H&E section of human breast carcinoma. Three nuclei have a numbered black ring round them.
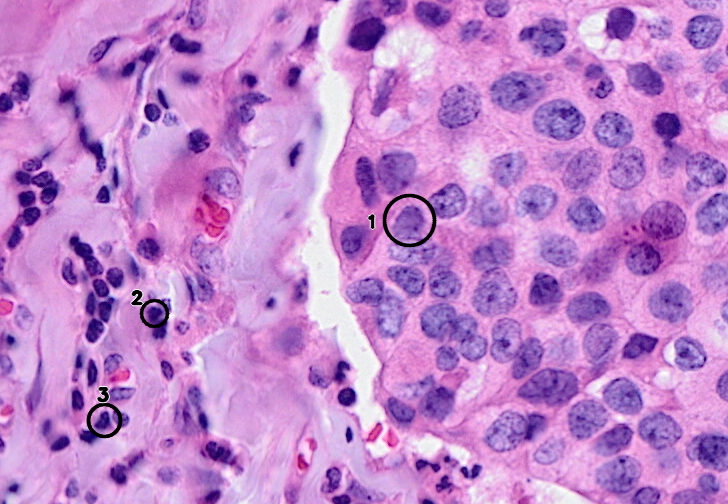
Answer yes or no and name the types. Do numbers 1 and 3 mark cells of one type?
No, cell 1 is a carcinoma cell, and cell 3, on the other hand, is a lymphocyte.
